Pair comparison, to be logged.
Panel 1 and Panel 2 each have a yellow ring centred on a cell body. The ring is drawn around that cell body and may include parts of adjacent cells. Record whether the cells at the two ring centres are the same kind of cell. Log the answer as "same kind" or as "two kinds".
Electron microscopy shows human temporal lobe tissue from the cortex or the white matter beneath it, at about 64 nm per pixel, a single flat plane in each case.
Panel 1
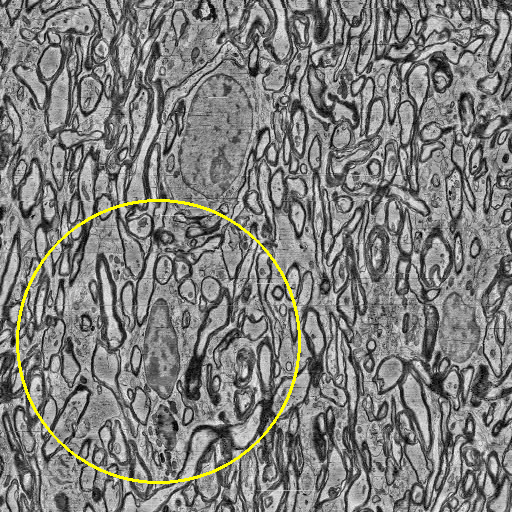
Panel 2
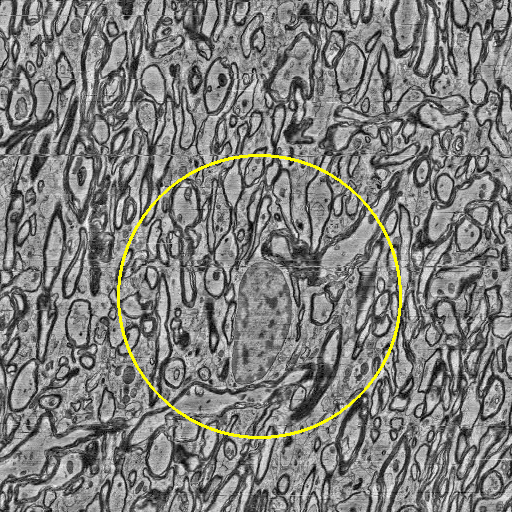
same kind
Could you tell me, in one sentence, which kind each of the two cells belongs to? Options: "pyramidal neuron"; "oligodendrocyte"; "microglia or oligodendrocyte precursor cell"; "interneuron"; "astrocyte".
Each one of the two ringed cells is a microglial cell or oligodendrocyte precursor cell.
